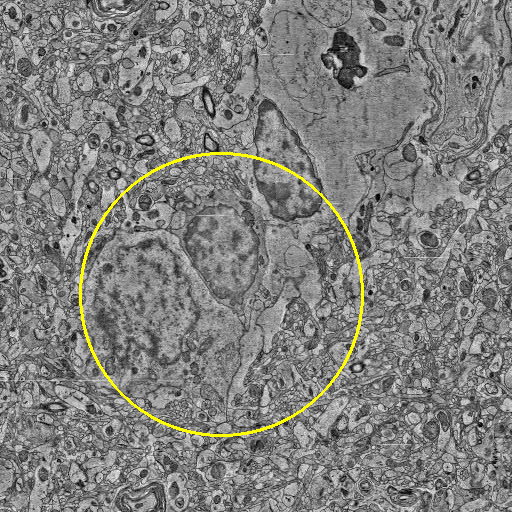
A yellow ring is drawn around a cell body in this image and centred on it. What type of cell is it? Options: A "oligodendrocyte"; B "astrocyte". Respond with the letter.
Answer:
A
